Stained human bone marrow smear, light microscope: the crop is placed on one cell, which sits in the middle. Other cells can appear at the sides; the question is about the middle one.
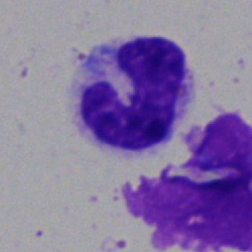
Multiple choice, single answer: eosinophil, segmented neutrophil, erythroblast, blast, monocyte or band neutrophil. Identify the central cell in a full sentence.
At the middle of the frame sits a band neutrophil.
